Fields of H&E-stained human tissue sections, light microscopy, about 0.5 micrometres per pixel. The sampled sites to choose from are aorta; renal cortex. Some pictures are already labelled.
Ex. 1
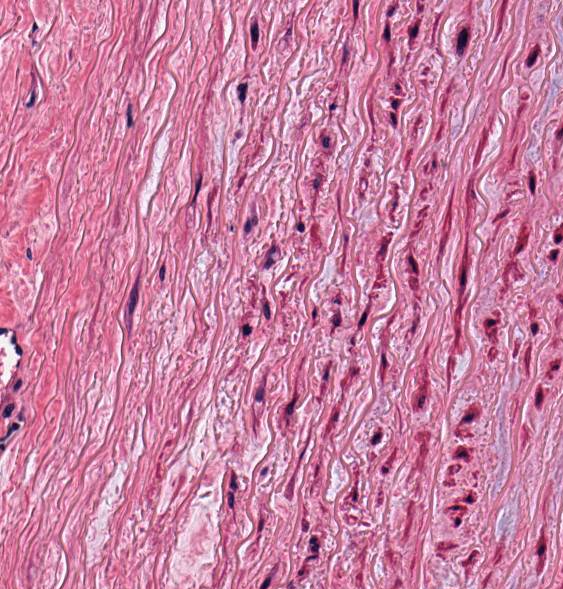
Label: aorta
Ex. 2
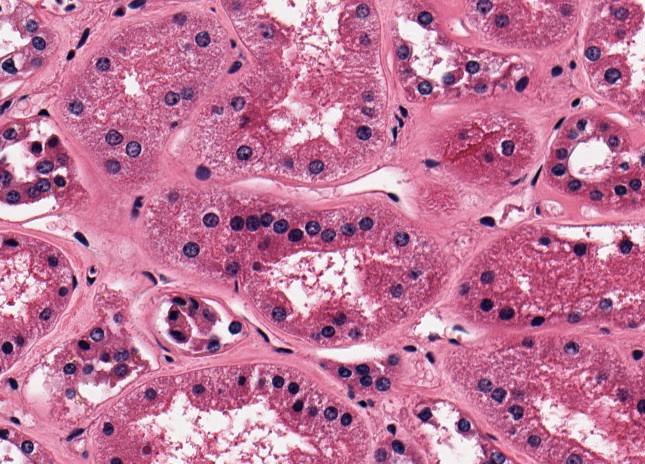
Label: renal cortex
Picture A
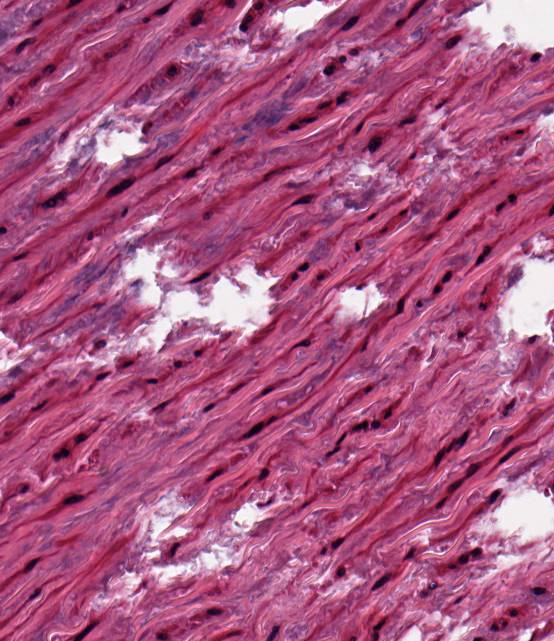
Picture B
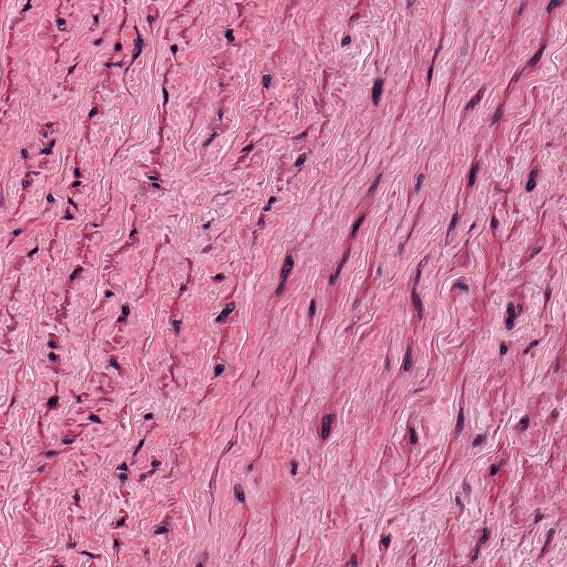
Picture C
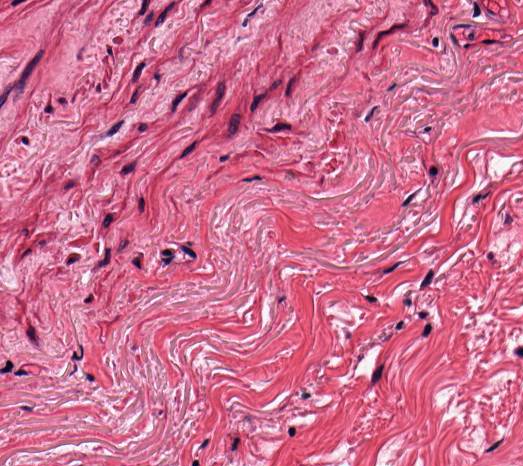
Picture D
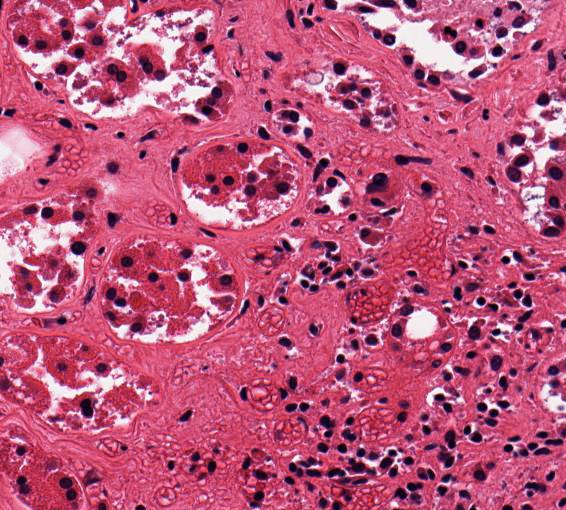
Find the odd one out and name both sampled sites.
D differs and shows renal cortex; the others show aorta.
